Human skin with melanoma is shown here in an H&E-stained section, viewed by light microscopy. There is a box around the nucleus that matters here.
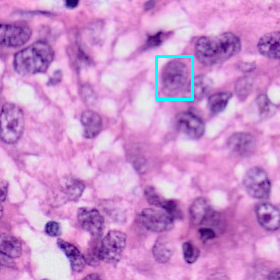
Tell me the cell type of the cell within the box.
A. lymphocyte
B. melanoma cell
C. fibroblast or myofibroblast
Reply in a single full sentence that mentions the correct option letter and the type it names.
The correct response is option B: the cell within the box is a melanoma cell.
